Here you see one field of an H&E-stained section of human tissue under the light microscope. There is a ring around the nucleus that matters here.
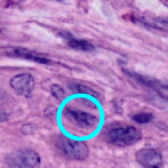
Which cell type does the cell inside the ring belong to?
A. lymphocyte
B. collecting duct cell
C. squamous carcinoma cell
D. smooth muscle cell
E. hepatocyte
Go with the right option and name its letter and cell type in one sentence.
The correct choice is option C; the cell inside the ring is a squamous carcinoma cell.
